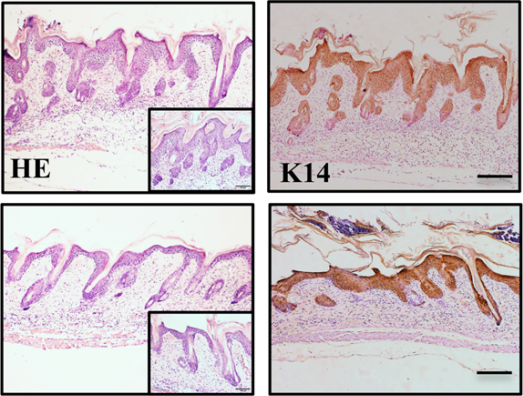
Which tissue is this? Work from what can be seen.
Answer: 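Skin. A stratified squamous epithelium with a keratinized surface layer overlies a looser connective tissue. The epithelial layer is stained brown in the right-hand images.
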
